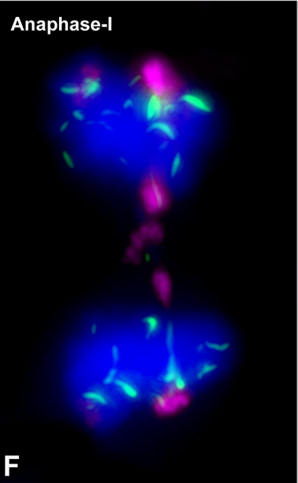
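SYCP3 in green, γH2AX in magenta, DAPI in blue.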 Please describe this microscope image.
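A dividing spermatocyte shows two separated groups of blue chromosomes at top and bottom, each with many short green rods. Between the two groups runs a chain of magenta patches, linking magenta chromatin at the edge of each group.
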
